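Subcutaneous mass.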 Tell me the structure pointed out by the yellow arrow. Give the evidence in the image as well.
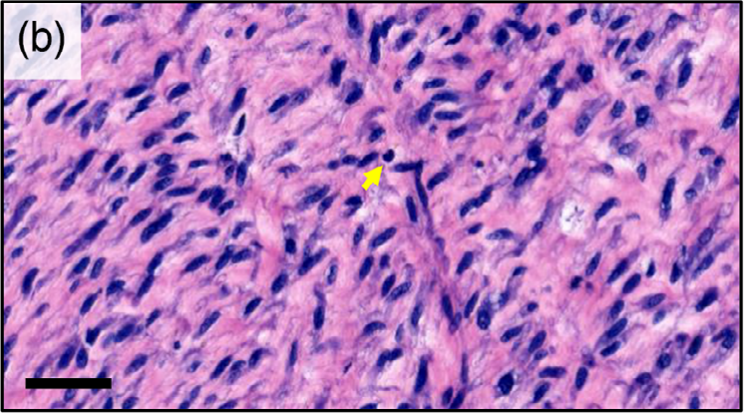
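At the arrow tip lies a small, very dark, compact clump of chromatin. It is denser and darker than the surrounding oval nuclei.
Conclusion: mitotic figure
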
